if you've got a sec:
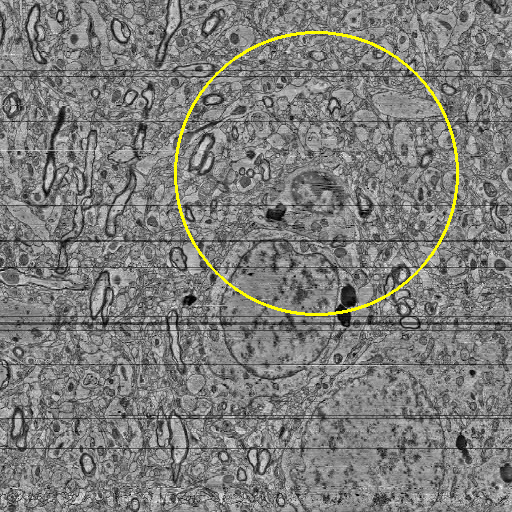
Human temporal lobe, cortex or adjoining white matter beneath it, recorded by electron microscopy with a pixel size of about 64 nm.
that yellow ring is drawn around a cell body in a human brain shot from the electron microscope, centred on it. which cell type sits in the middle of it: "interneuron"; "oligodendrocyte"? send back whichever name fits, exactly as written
oligodendrocyte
